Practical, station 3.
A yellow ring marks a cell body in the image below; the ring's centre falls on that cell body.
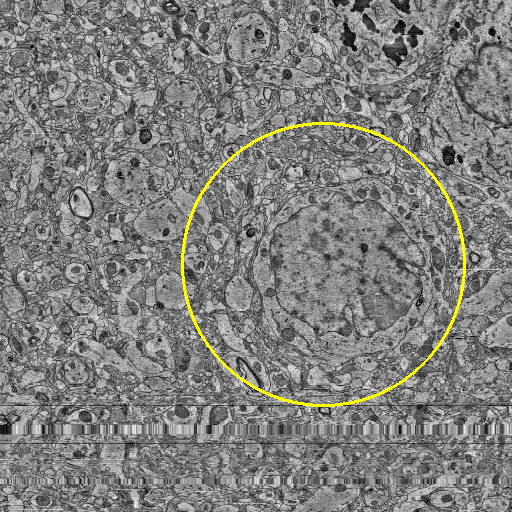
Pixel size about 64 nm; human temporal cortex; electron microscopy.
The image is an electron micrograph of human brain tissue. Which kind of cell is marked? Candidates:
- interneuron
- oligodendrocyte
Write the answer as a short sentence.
The marked cell body is that of an interneuron.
